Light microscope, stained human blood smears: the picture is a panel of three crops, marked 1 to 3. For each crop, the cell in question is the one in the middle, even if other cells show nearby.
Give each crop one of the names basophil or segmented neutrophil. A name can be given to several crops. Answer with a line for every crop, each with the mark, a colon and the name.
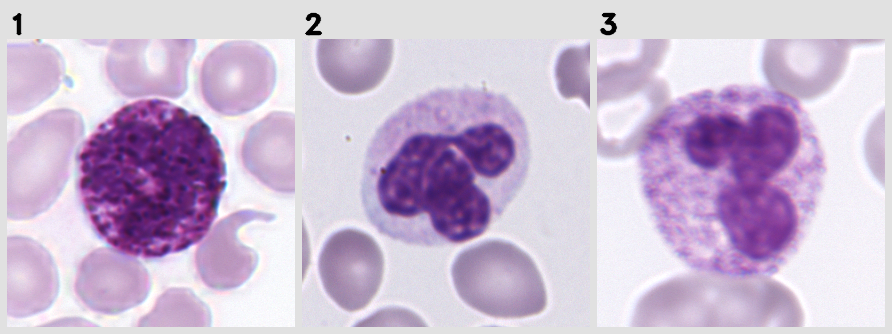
1: basophil
2: segmented neutrophil
3: segmented neutrophil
